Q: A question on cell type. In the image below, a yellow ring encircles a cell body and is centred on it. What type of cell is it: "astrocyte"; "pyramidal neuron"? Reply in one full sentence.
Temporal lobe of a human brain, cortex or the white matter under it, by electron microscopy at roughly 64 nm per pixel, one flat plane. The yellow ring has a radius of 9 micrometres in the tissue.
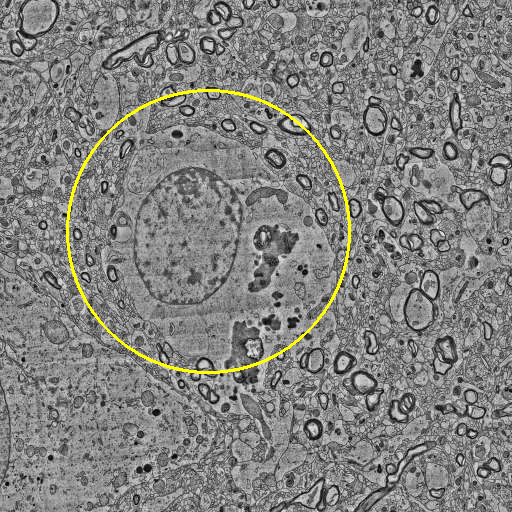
It is an astrocyte whose cell body sits at the centre of the yellow ring in the image.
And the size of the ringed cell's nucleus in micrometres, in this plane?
About 9 by 7 micrometers for the nucleus, in this plane.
